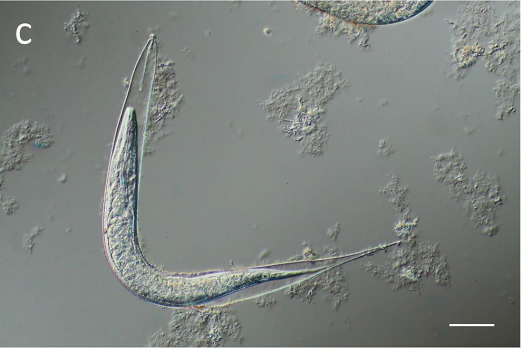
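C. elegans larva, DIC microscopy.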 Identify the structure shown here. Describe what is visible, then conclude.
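A thin transparent sheath surrounds the worm. The sheath extends well beyond the head and the tail as empty pointed ends. The worm body lies loose inside the sheath. So: unshed cuticle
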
